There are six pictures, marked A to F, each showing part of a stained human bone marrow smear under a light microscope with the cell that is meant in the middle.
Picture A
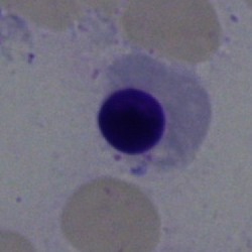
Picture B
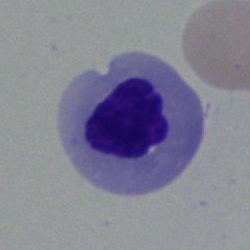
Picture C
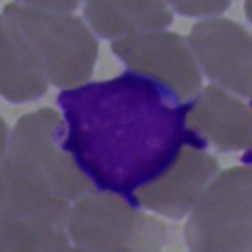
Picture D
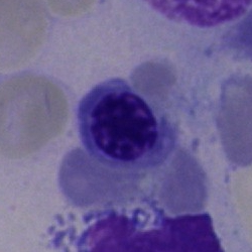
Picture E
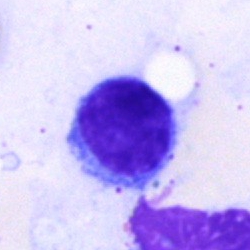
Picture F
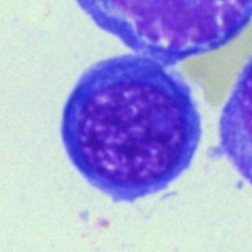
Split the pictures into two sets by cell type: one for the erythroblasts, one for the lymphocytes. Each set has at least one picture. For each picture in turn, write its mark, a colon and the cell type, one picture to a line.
A: erythroblast
B: erythroblast
C: lymphocyte
D: erythroblast
E: lymphocyte
F: erythroblast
